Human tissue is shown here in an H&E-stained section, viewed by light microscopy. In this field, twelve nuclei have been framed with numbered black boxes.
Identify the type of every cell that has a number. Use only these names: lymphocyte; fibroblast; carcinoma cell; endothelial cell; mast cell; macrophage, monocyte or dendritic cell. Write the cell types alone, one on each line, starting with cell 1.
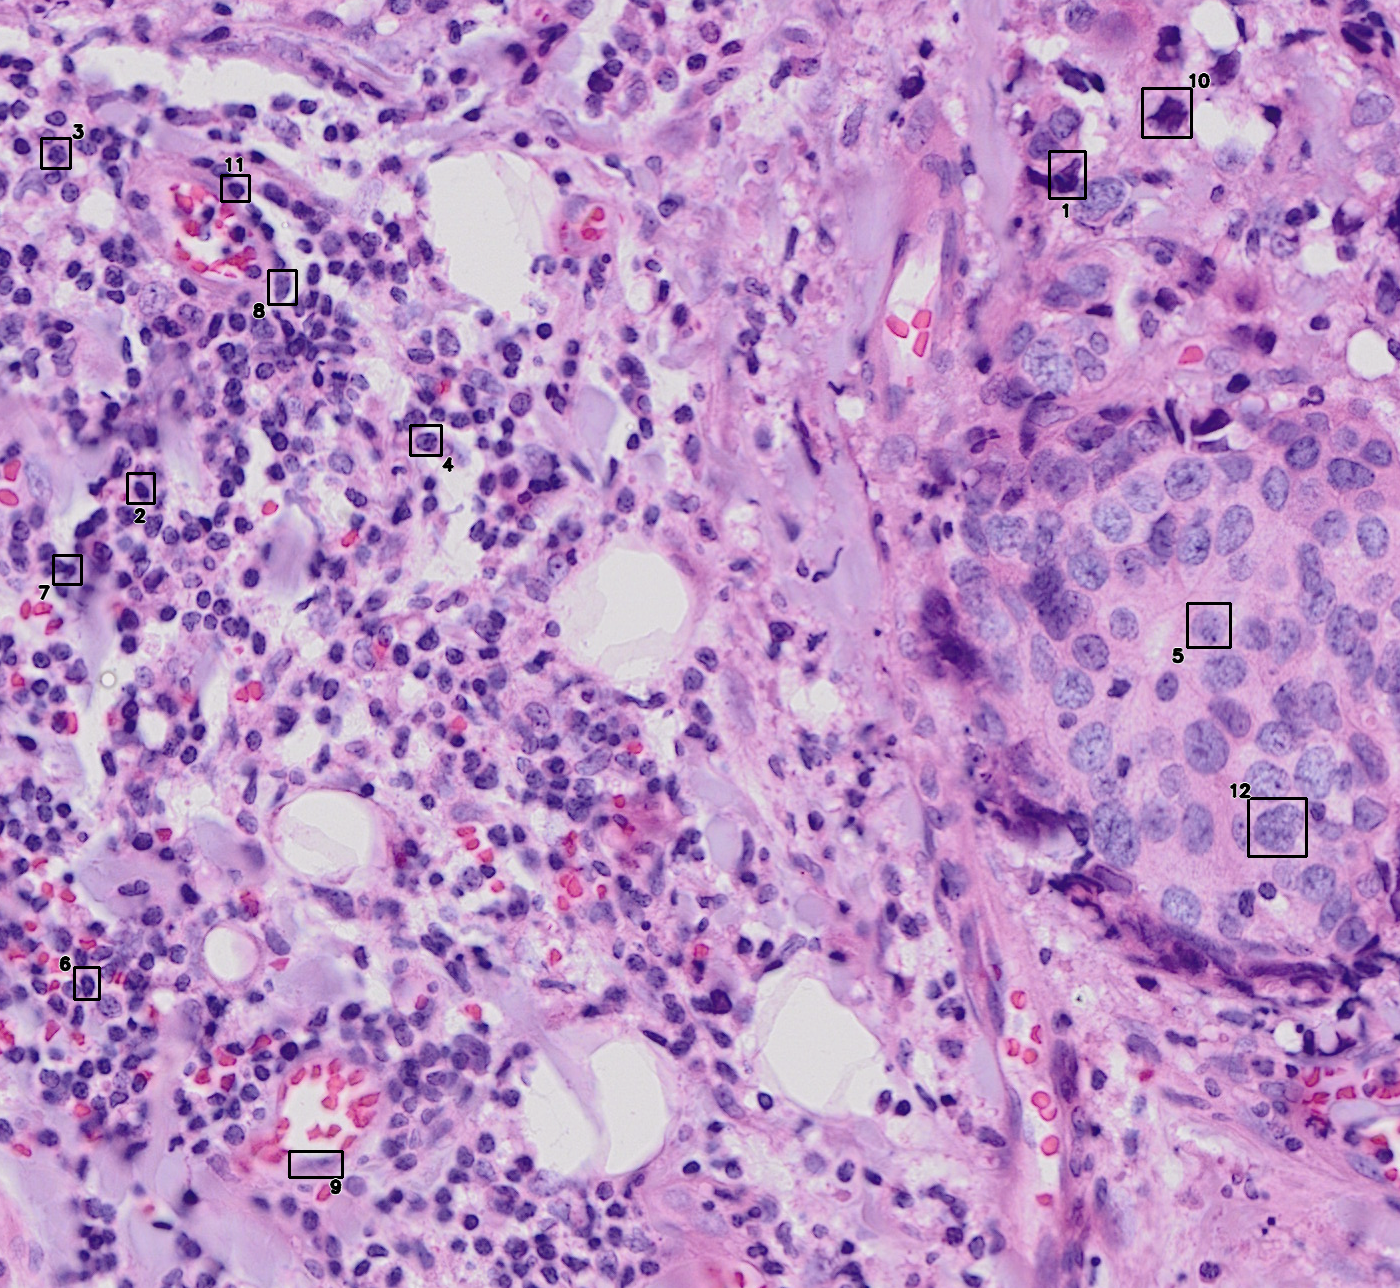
carcinoma cell
lymphocyte
lymphocyte
lymphocyte
carcinoma cell
lymphocyte
lymphocyte
lymphocyte
endothelial cell
carcinoma cell
lymphocyte
carcinoma cell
